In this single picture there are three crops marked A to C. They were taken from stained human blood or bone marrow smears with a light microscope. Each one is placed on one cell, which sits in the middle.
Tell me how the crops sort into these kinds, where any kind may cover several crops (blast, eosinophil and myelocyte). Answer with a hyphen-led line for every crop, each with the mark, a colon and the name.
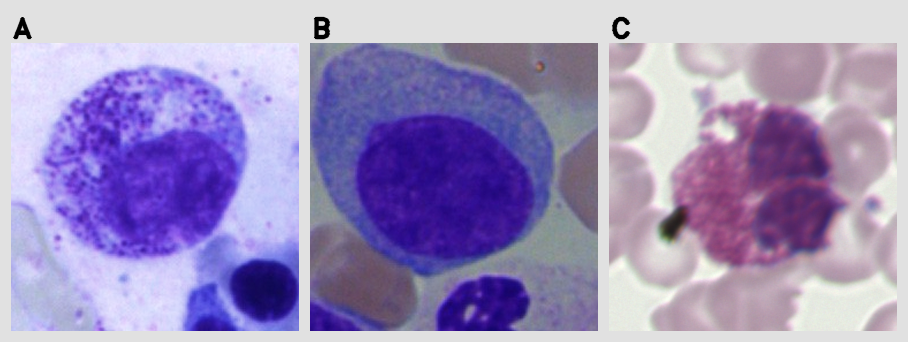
- A: myelocyte
- B: blast
- C: eosinophil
